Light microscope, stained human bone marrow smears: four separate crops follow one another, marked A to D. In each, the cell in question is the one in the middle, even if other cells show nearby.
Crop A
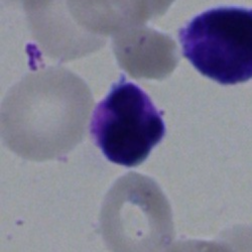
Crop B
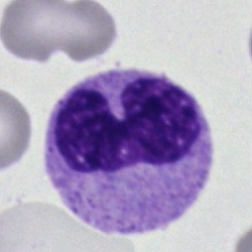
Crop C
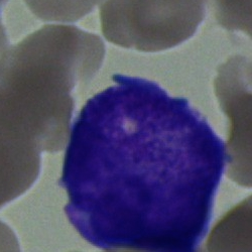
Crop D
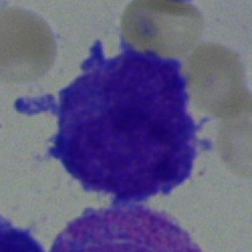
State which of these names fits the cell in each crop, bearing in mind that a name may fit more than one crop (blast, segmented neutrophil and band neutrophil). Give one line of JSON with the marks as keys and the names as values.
{"A": "segmented neutrophil", "B": "band neutrophil", "C": "blast", "D": "blast"}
